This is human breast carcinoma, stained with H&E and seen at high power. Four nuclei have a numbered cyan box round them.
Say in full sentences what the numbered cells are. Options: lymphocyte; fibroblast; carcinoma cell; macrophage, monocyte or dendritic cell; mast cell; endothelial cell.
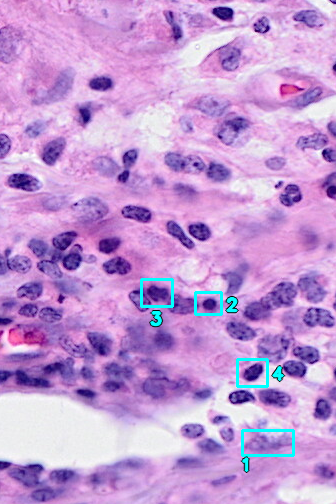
Cell 1 is a fibroblast, cell 2 is a lymphocyte, cell 3 is a lymphocyte and cell 4 is a lymphocyte.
